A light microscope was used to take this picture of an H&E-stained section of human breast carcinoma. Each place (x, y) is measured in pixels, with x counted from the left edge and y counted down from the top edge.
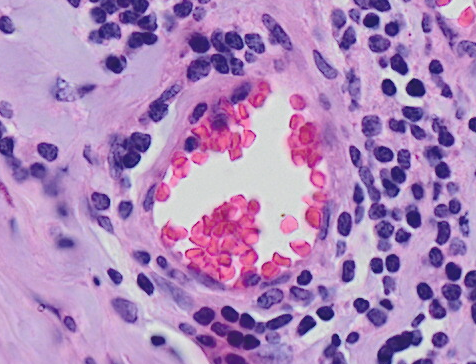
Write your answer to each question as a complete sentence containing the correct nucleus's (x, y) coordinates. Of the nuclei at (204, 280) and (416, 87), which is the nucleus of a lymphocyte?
In this pair, the nucleus at (416, 87) belongs to a lymphocyte.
